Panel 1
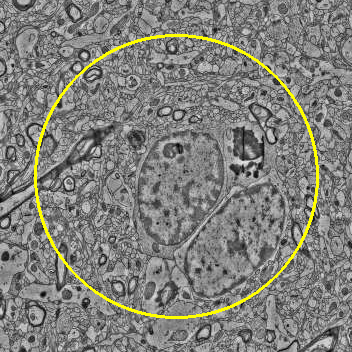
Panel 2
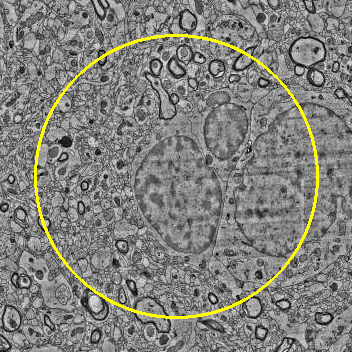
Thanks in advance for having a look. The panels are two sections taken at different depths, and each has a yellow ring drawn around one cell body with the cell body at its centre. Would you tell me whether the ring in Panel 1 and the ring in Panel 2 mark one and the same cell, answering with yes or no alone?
no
